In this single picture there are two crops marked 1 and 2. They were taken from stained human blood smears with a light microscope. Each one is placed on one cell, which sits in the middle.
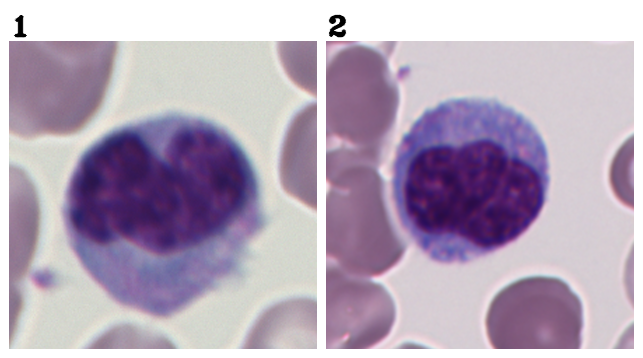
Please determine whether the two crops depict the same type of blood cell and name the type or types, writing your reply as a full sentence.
Yes, shown in both crops are monocytes.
